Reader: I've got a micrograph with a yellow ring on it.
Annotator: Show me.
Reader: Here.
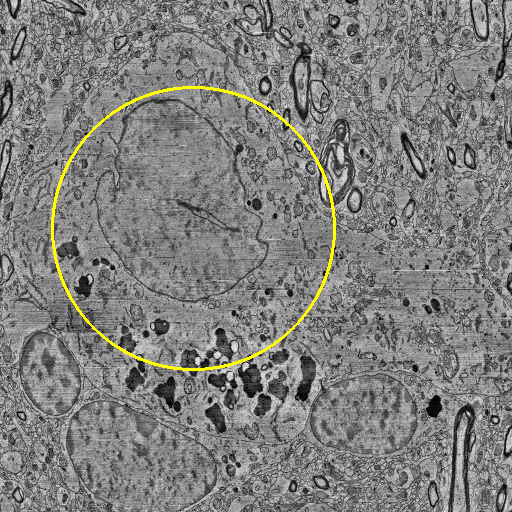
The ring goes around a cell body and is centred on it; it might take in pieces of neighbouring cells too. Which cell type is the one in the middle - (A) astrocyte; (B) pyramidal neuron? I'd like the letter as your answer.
B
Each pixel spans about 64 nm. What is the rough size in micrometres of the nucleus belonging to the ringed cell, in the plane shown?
In this plane, the nucleus is roughly 14 by 10 micrometres.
